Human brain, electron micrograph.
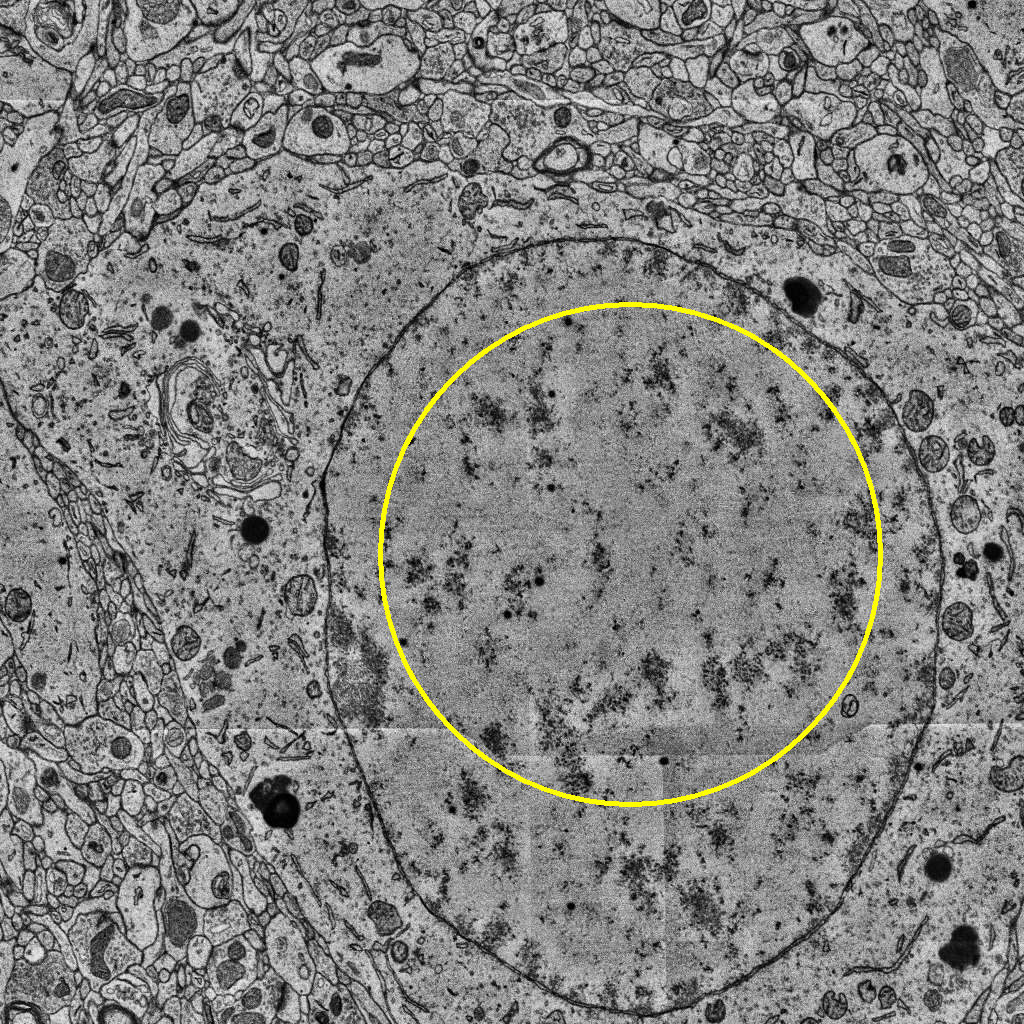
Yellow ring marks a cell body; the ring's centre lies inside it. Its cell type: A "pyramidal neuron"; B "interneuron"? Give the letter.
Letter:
A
